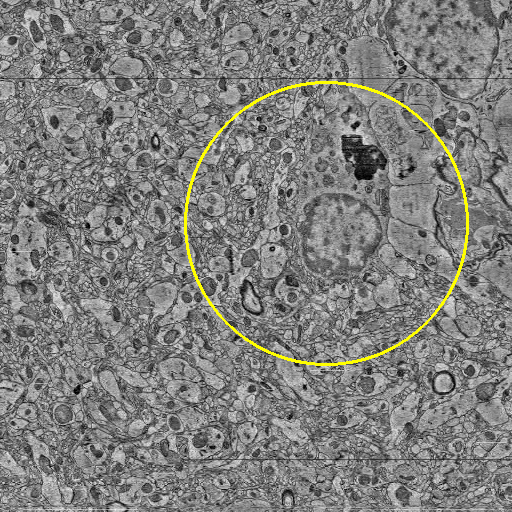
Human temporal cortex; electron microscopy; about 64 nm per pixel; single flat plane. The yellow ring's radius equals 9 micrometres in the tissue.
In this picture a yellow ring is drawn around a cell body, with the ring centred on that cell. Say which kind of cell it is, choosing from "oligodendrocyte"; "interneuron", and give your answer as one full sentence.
Here it is an oligodendrocyte that sits at the centre of the drawn yellow ring.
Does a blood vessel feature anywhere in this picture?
Yes, there is a blood vessel.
